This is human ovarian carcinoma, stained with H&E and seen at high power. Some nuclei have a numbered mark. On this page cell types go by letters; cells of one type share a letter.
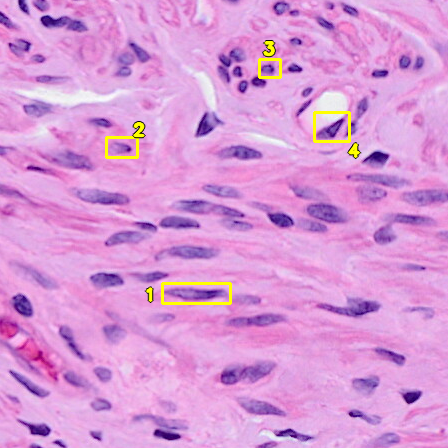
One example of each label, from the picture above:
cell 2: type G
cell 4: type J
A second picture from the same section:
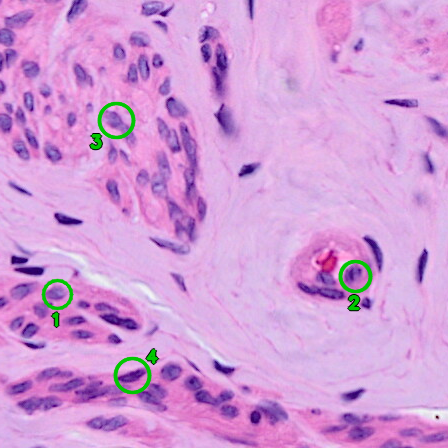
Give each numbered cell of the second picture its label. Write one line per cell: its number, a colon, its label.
1: type G
2: type J
3: type G
4: type G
